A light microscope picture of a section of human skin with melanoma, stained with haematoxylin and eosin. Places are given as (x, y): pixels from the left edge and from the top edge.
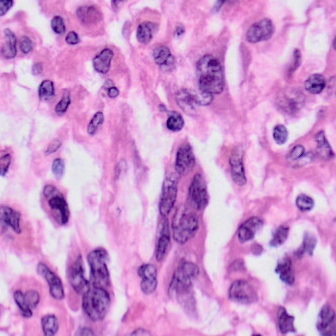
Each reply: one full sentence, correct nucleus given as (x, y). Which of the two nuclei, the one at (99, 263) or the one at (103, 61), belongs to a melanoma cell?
The nucleus of a melanoma cell is the one found at (99, 263), not the other.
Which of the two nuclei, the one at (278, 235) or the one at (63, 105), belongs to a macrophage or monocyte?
The nucleus belonging to a macrophage or monocyte is the one at (63, 105).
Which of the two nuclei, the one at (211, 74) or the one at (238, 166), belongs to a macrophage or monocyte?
Identified as belonging to a macrophage or monocyte is the nucleus at (238, 166).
